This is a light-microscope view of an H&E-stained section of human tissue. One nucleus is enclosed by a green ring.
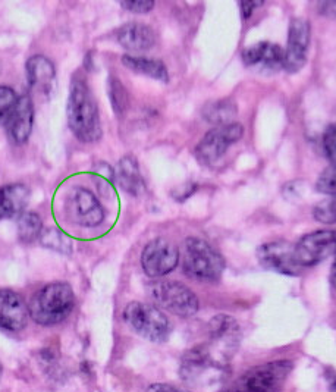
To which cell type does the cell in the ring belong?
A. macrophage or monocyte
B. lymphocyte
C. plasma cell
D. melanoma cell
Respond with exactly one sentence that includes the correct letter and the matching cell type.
Option D is the correct one, since the cell in the ring is a melanoma cell.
